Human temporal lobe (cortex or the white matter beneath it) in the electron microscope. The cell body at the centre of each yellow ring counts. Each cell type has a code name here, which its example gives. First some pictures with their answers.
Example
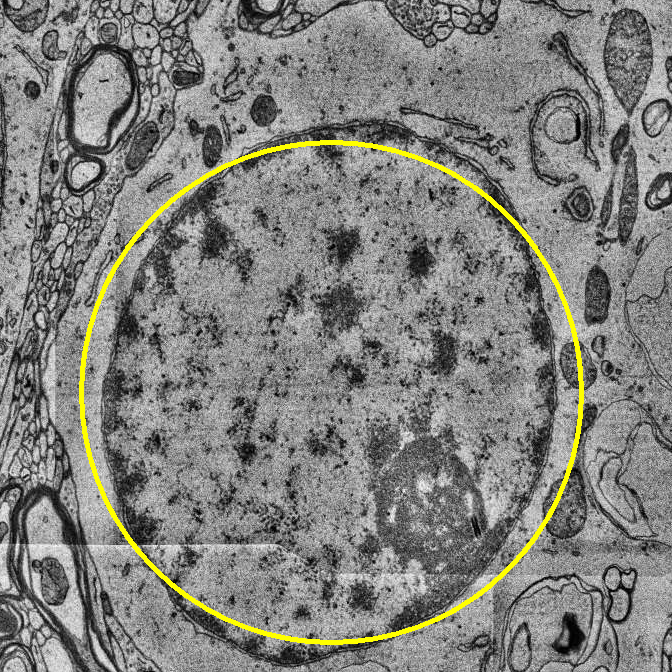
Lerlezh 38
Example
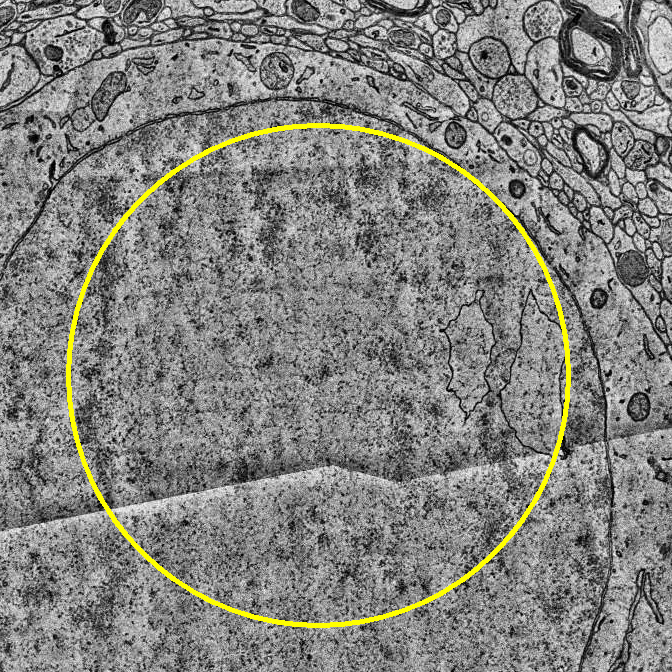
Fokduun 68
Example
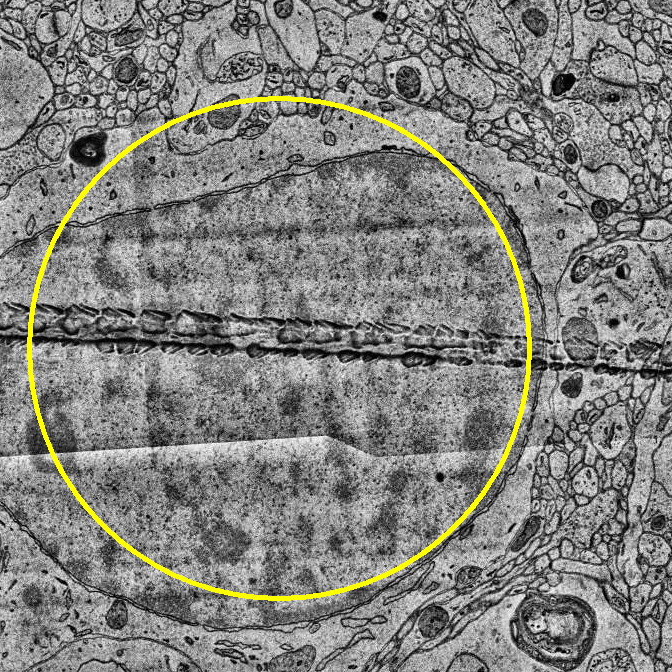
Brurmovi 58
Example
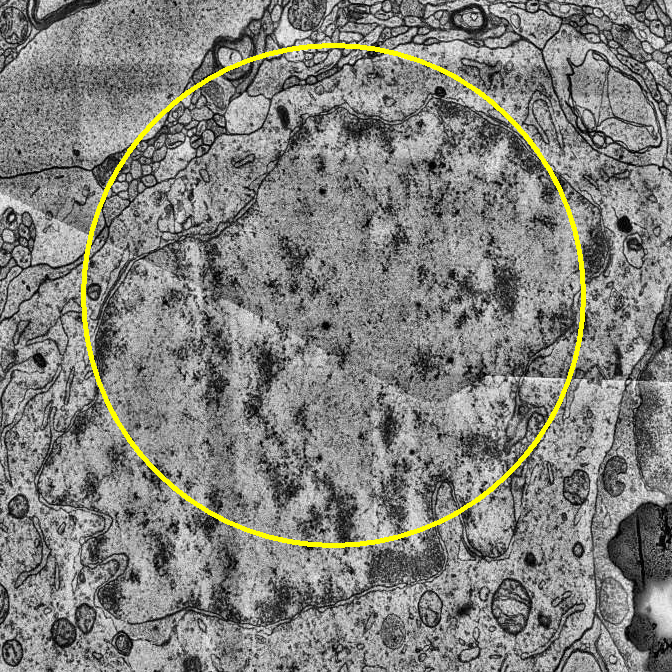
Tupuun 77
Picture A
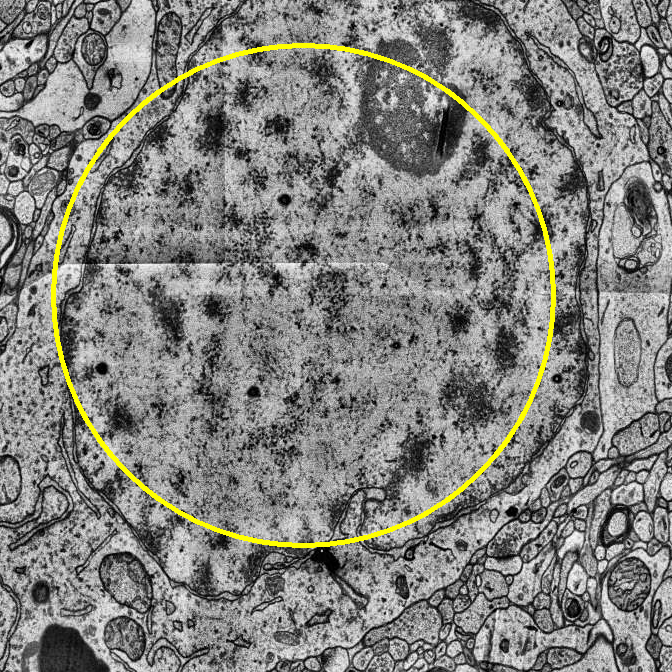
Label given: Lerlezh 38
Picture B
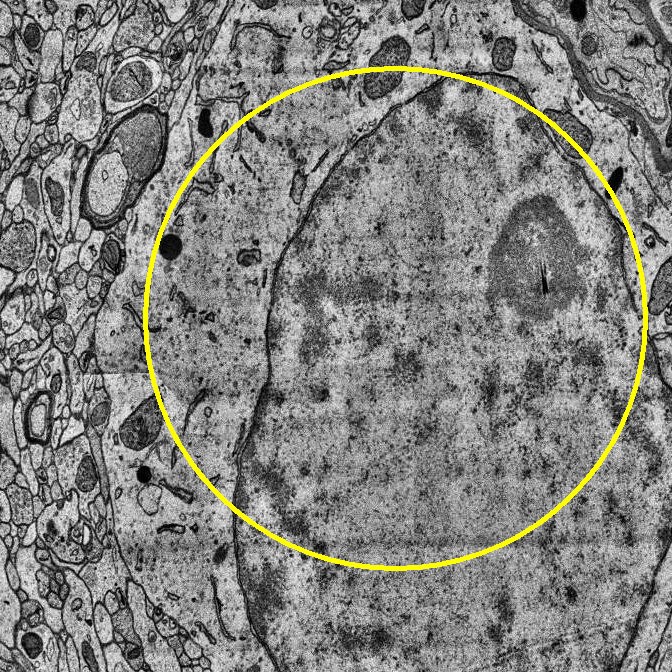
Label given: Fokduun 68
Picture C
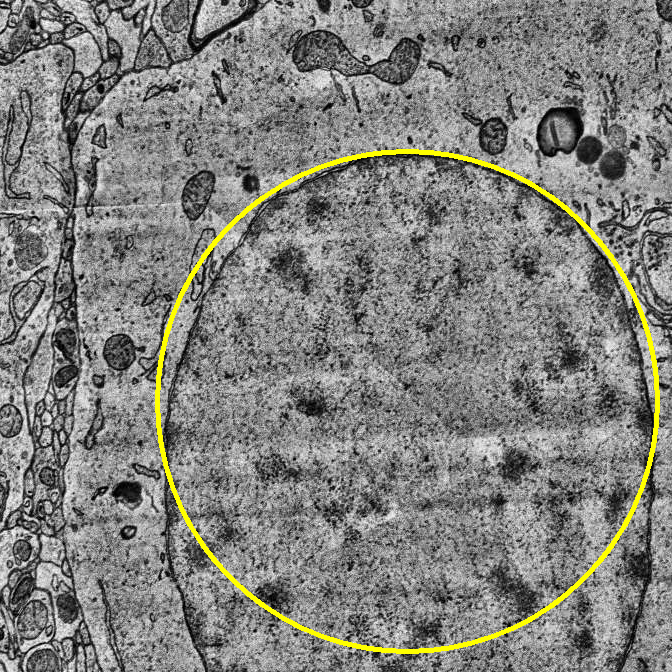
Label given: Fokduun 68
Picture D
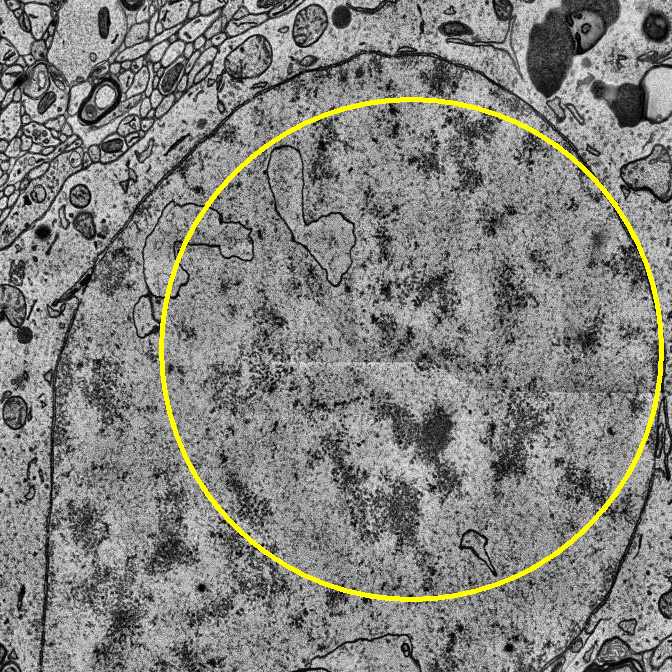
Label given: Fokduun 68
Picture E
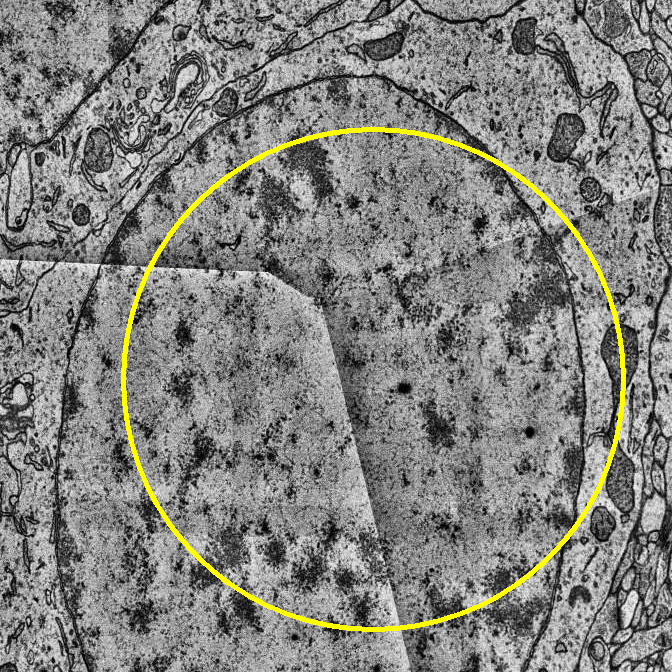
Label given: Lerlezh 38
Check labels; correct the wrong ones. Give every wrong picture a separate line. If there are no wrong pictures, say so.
Wrong: A (Lerlezh 38); correct: Tupuun 77
Wrong: E (Lerlezh 38); correct: Fokduun 68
